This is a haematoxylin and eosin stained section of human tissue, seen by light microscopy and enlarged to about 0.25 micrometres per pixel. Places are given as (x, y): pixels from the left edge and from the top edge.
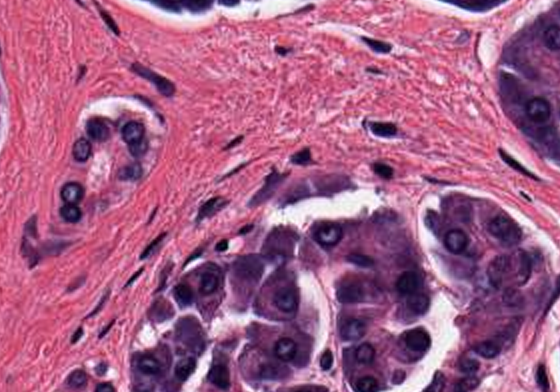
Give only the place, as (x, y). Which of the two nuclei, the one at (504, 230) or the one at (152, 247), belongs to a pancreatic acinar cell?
(504, 230)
